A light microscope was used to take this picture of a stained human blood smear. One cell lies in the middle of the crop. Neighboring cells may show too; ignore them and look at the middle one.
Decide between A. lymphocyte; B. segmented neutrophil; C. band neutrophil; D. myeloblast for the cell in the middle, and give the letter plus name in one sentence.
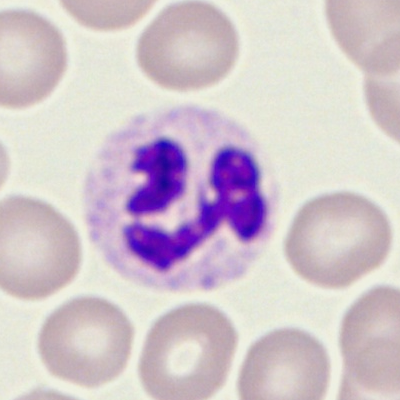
Identification: the cell in the middle is a segmented neutrophil, matching option B.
